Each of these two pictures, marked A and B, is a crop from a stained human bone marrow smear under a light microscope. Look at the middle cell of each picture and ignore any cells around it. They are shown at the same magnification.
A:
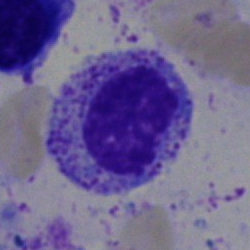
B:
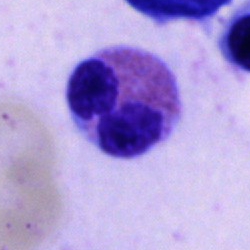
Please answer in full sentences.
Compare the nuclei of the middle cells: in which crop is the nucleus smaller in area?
It is the nucleus in crop B; the one in crop A has about 1.5 times its area.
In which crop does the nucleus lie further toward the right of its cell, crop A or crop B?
The nucleus in crop A lies further toward the right of its cell.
